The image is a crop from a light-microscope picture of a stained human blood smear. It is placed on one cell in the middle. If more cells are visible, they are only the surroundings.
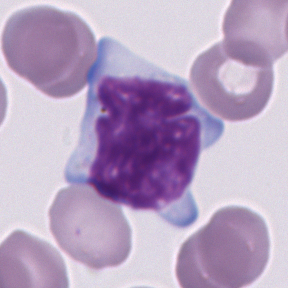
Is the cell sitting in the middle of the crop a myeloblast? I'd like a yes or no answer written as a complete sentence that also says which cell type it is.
Yes, the cell at the heart of the crop is a myeloblast.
